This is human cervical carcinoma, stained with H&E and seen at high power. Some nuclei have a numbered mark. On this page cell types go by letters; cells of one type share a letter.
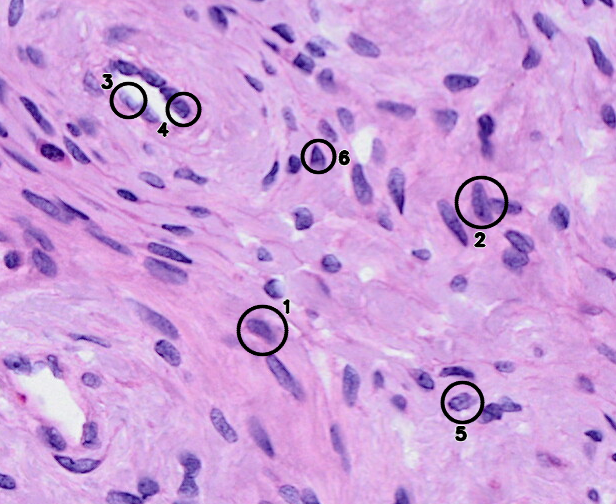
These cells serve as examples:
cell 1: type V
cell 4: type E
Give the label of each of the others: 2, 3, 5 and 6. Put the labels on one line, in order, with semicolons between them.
type V; type E; type V; type V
